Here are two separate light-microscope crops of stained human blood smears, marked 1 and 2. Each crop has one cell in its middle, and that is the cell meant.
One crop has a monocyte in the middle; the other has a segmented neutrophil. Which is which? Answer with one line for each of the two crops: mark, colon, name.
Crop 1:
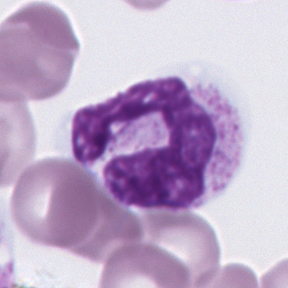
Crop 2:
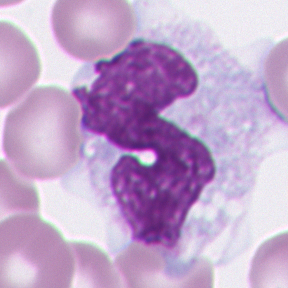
1: segmented neutrophil
2: monocyte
